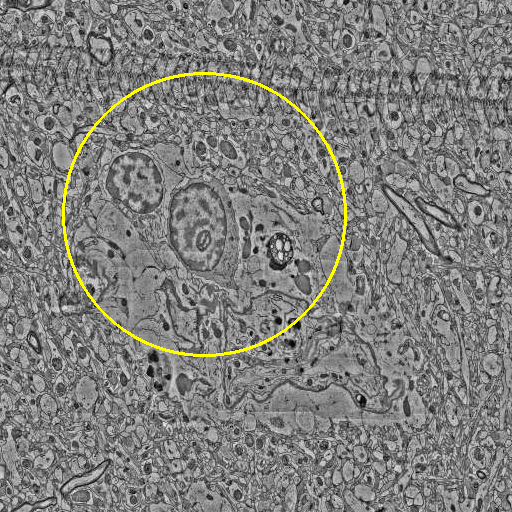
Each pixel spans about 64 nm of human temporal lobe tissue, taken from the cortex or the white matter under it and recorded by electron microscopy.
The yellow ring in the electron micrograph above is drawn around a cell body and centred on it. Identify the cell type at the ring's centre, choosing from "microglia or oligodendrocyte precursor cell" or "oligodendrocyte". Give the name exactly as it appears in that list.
oligodendrocyte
